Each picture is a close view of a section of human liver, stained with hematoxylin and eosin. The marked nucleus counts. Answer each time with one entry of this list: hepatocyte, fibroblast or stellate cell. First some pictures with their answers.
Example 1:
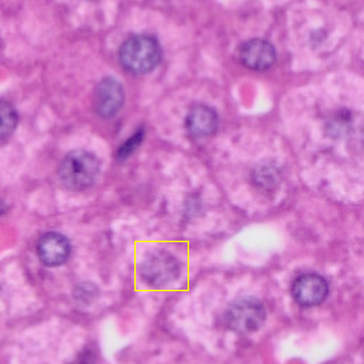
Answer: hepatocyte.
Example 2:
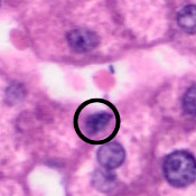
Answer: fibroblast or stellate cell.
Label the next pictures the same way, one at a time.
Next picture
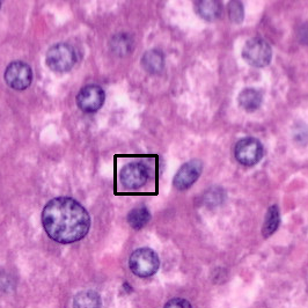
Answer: hepatocyte.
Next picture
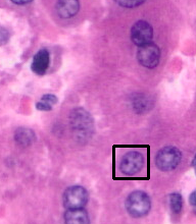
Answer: hepatocyte.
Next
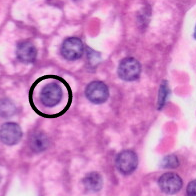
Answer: hepatocyte.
